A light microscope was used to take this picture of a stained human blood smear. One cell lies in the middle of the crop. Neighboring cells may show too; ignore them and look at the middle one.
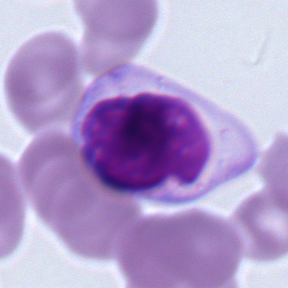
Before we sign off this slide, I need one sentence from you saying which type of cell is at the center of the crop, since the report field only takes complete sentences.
The cell in the middle of this crop is a large granular lymphocyte.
